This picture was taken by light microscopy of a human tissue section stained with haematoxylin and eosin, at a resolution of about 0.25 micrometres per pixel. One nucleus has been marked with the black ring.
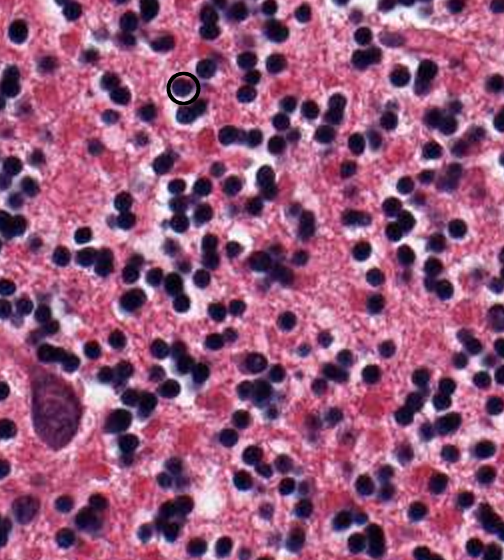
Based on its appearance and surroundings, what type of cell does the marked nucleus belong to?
cerebellar granule cell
